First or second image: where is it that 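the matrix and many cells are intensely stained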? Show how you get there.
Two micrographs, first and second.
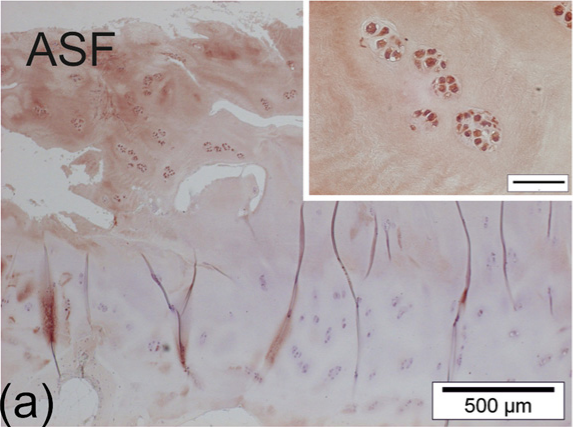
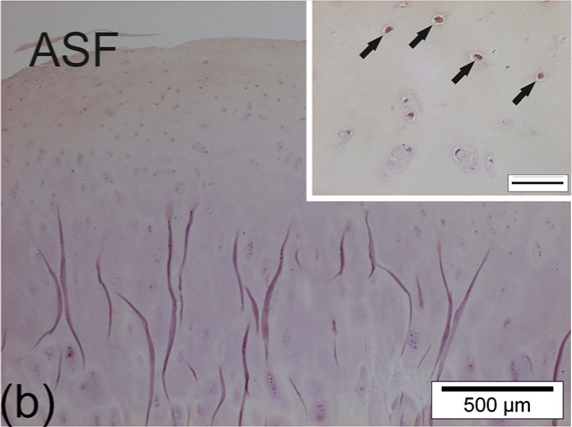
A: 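Second image: the matrix is pale with only a few scattered reddish cells. First image: the upper matrix and the cell clusters are stained reddish-brown. That points to this answer: the first image.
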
